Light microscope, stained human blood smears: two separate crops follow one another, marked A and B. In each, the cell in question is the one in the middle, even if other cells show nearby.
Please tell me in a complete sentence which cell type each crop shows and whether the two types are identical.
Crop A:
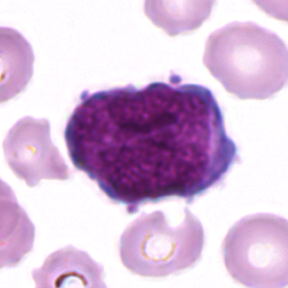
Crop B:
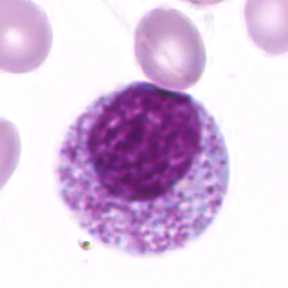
No, crop A is where an atypical promyelocyte is shown, and crop B is where a myelocyte is shown.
